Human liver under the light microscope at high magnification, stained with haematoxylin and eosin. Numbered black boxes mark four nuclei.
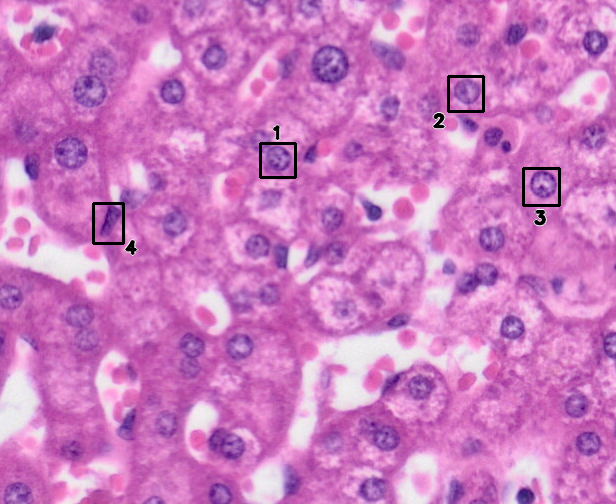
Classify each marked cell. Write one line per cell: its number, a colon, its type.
1: hepatocyte
2: hepatocyte
3: hepatocyte
4: fibroblast or stellate cell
